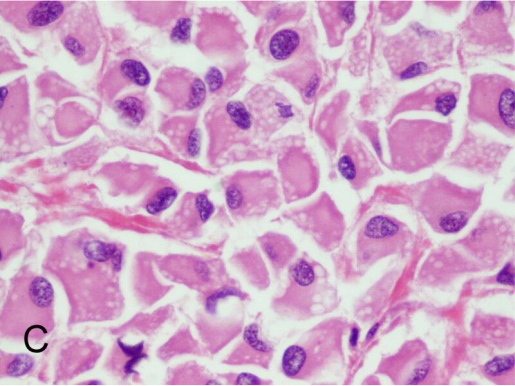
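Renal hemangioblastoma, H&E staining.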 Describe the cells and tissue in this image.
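This is a close view of closely packed polygonal tumor cells with sharp cell borders. The cytoplasm is pink and plentiful, and in some cells it is filled with many small clear round lipid vesicles. A few nuclei are darker and irregular in shape. Thin strands of stroma run between groups of cells.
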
